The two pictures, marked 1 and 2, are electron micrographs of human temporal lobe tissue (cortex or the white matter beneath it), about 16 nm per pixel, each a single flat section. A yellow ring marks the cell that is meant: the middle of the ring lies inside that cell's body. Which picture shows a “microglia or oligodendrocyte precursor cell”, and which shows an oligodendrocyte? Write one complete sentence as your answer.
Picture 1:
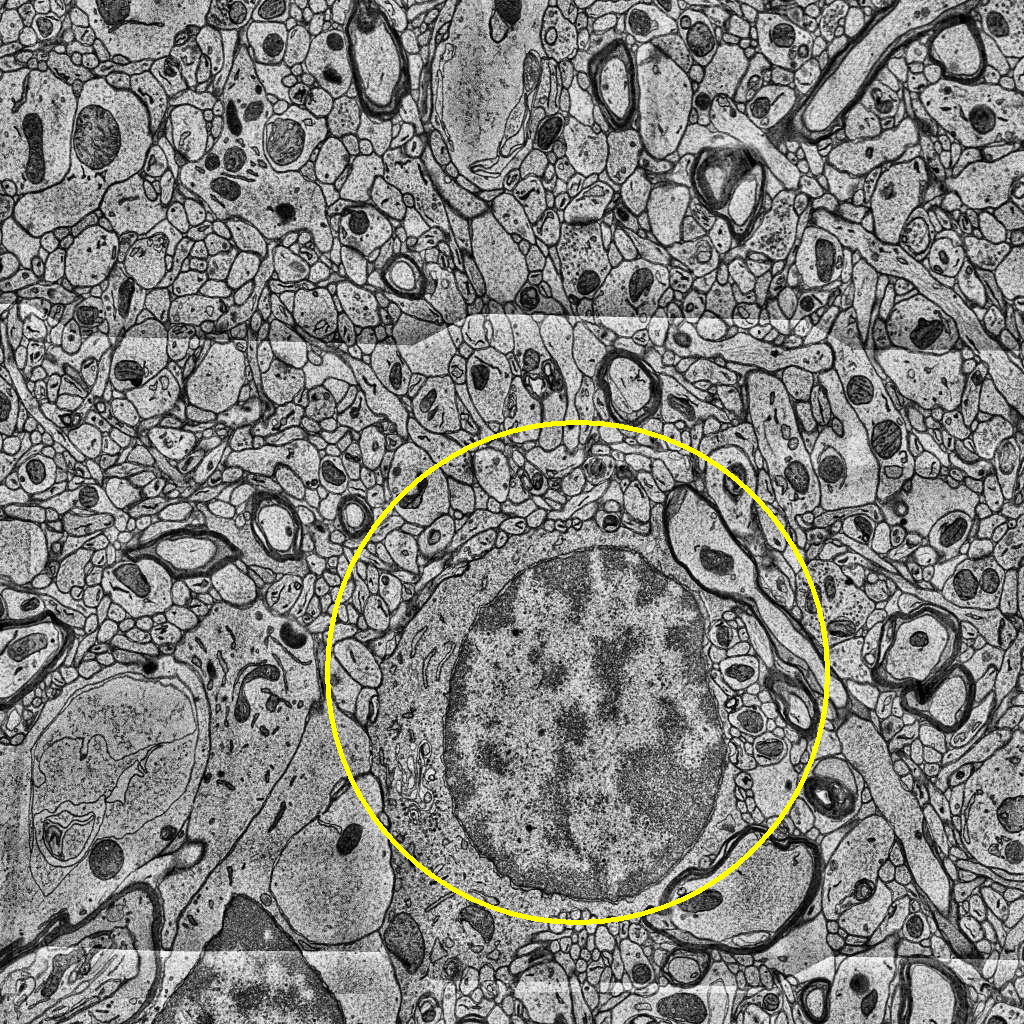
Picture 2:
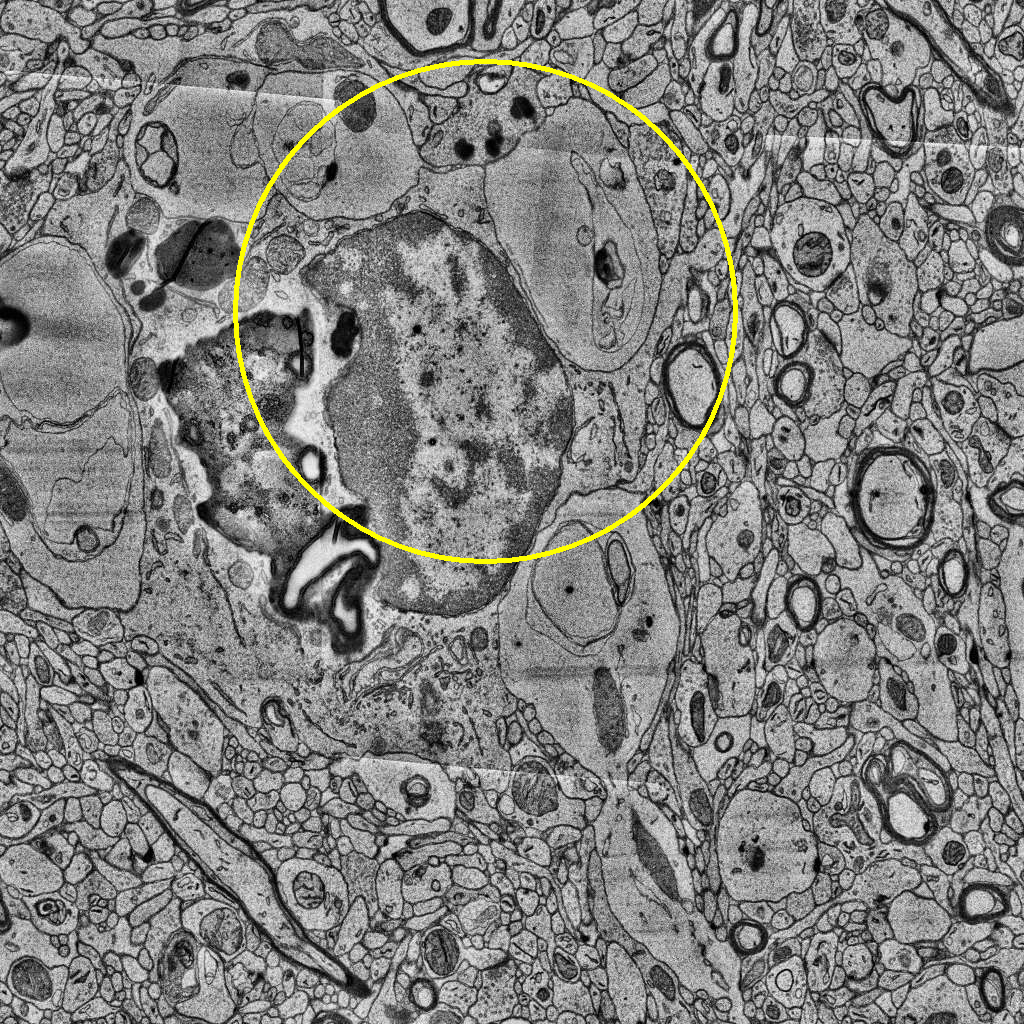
Picture 1 is of an oligodendrocyte, and picture 2 is of a “microglia or oligodendrocyte precursor cell”.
